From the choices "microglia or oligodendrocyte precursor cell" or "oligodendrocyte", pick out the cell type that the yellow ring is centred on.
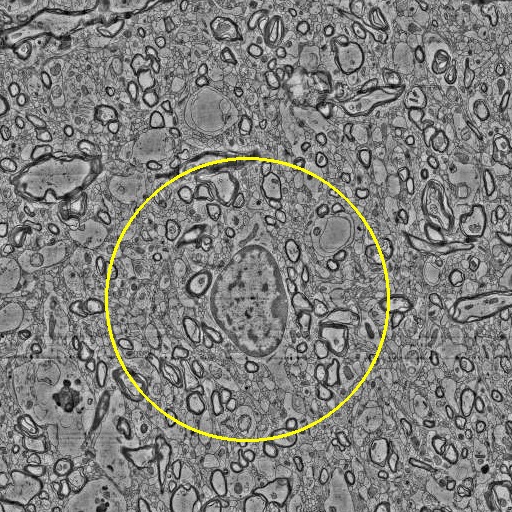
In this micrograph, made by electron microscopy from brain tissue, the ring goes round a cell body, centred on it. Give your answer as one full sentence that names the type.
The yellow ring is centred on a microglial cell or oligodendrocyte precursor cell, whose cell body it encircles in the picture.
